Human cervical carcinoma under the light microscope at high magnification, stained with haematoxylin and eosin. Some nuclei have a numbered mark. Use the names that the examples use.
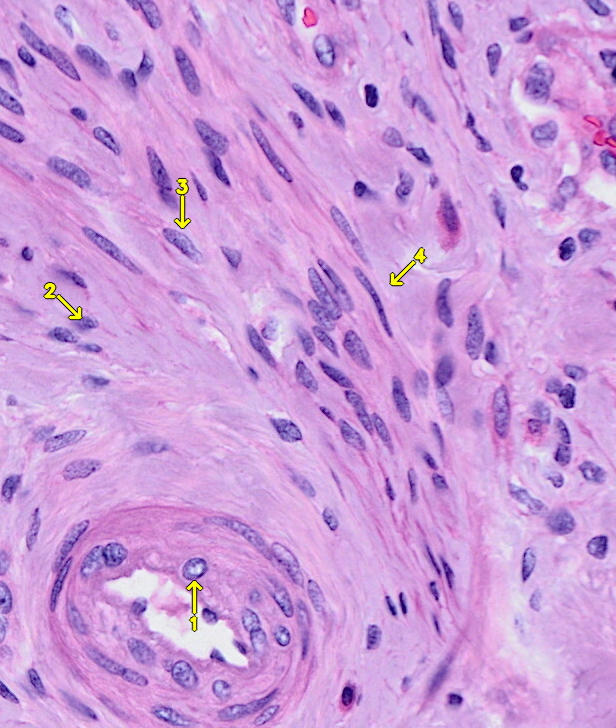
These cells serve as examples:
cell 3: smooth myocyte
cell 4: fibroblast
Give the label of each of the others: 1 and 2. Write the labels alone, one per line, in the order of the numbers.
smooth myocyte
fibroblast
